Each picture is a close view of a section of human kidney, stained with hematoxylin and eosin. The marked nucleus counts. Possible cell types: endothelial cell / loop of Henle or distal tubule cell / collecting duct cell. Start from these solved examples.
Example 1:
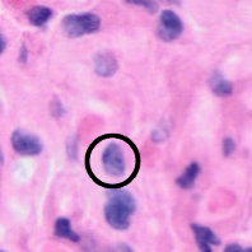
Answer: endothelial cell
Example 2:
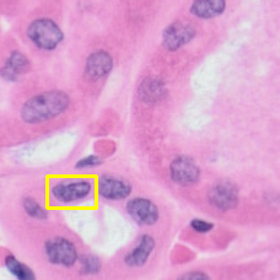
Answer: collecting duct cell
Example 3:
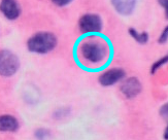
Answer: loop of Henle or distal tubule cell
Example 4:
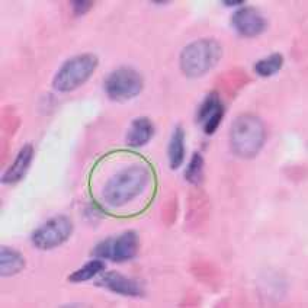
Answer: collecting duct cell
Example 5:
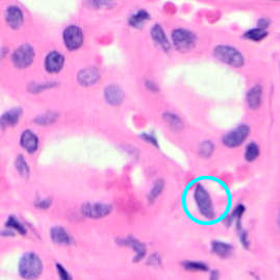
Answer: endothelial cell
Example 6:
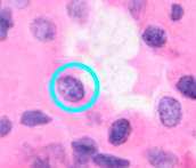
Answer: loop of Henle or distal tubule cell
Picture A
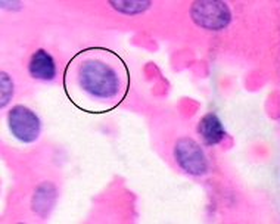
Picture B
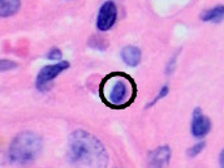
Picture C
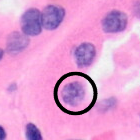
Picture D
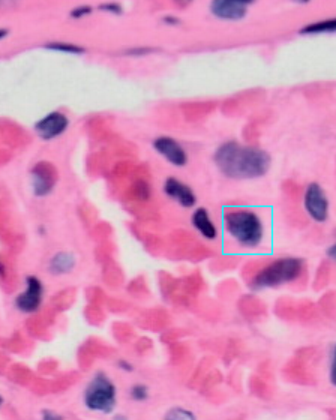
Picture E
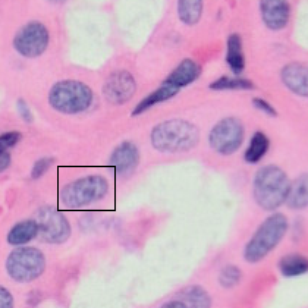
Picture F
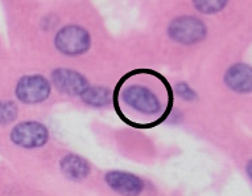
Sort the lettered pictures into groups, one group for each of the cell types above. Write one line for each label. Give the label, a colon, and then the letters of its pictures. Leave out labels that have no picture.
endothelial cell: B, D
loop of Henle or distal tubule cell: C
collecting duct cell: A, E, F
